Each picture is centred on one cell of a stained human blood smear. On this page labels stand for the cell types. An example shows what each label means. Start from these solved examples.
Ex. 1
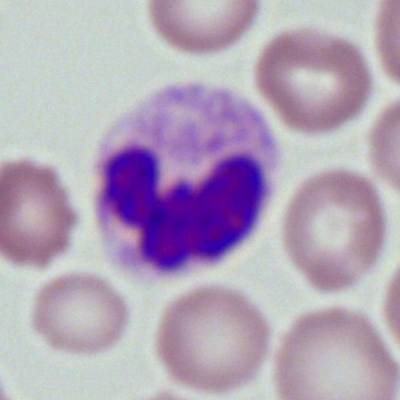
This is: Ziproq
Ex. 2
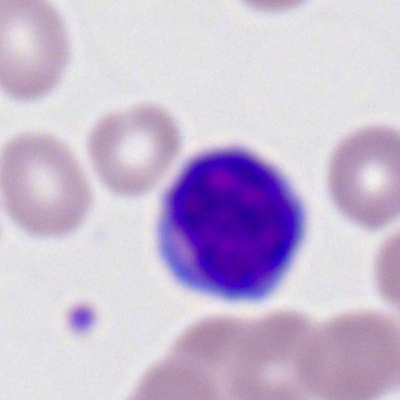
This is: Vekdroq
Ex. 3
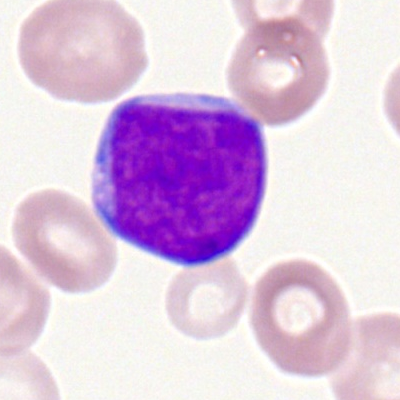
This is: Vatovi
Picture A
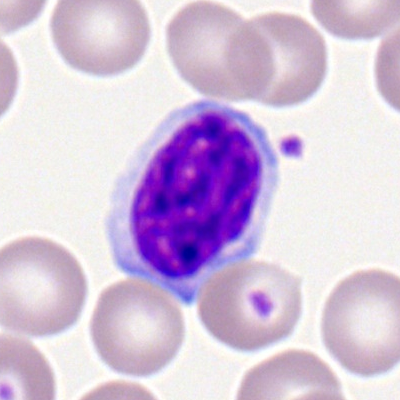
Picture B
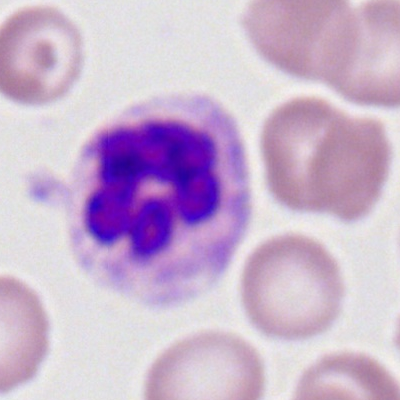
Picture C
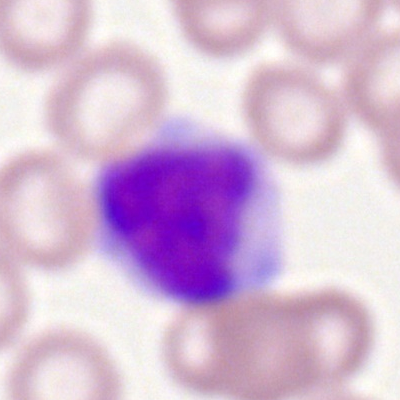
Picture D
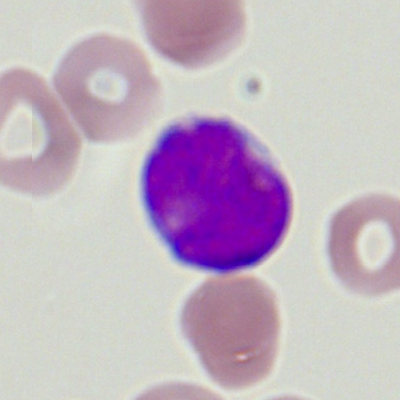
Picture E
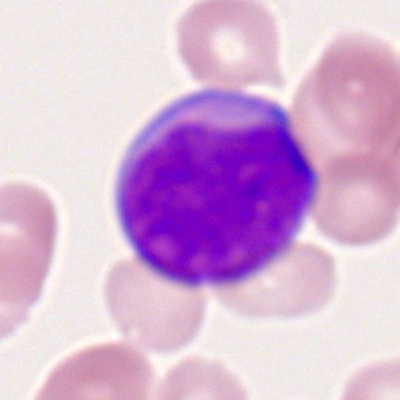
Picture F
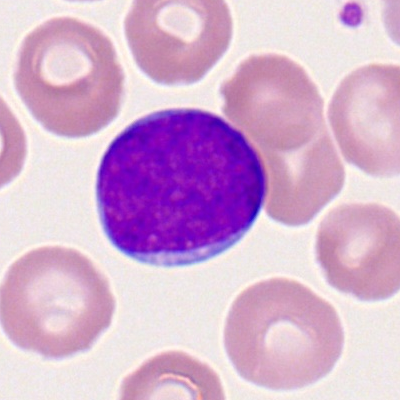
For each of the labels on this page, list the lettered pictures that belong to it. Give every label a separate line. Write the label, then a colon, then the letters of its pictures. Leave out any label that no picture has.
Ziproq: B
Vekdroq: A, C
Vatovi: D, E, F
